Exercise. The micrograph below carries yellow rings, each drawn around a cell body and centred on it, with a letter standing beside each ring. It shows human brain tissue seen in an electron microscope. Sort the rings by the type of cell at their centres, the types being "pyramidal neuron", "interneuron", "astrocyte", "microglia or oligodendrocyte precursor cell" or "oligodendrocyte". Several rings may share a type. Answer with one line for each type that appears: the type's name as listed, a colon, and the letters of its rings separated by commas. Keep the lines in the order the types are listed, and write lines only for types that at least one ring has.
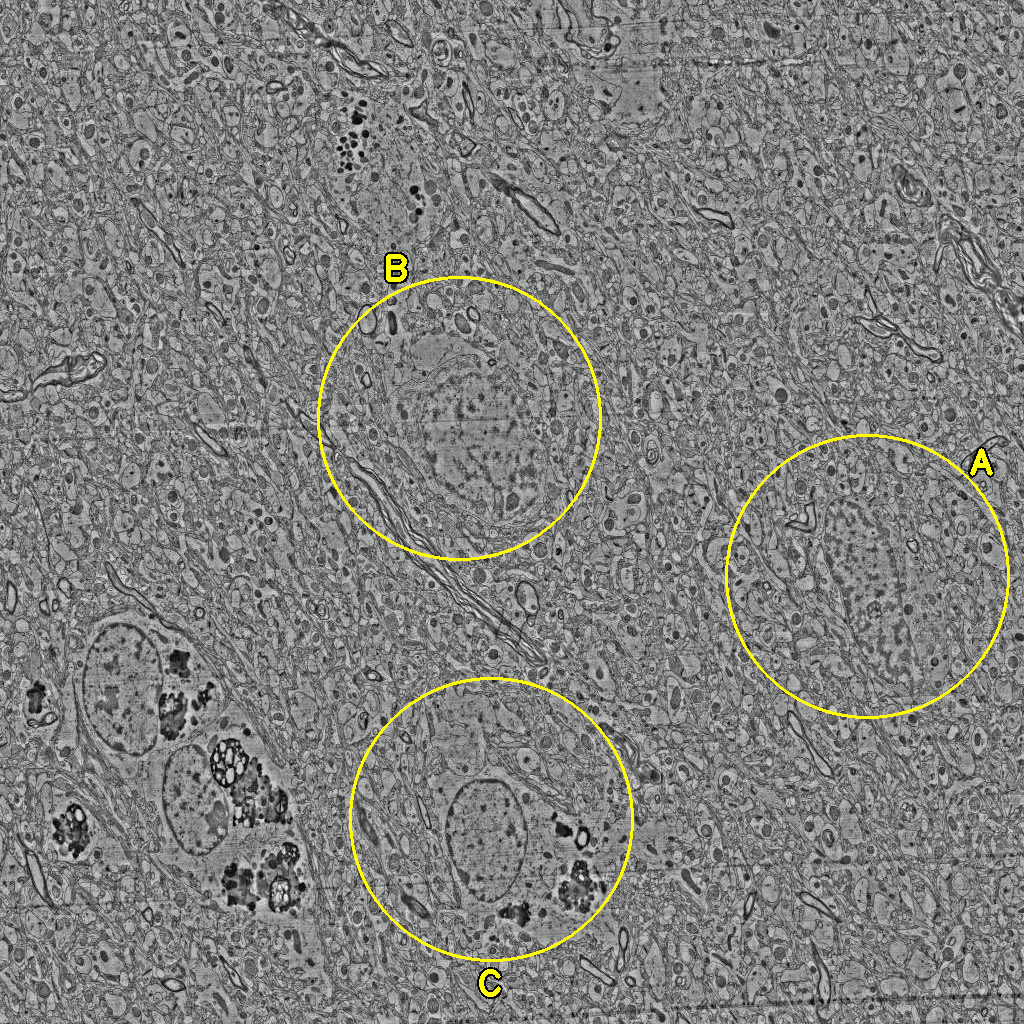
interneuron: B
astrocyte: C
oligodendrocyte: A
